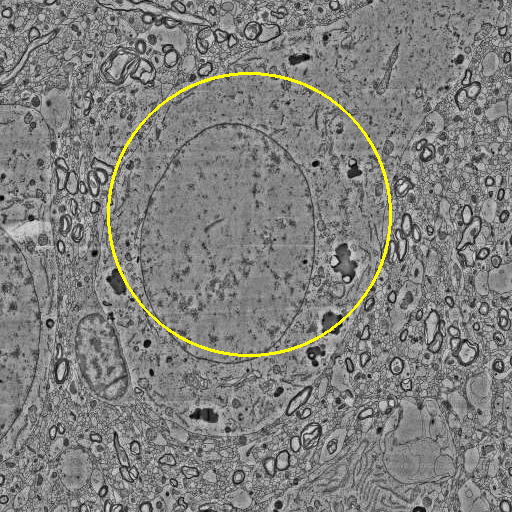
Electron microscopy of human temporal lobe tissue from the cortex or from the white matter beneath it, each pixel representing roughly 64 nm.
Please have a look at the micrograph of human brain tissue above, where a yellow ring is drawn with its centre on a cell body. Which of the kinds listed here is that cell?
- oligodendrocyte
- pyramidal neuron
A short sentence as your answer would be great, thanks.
At the centre of the ring sits a pyramidal neuron.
